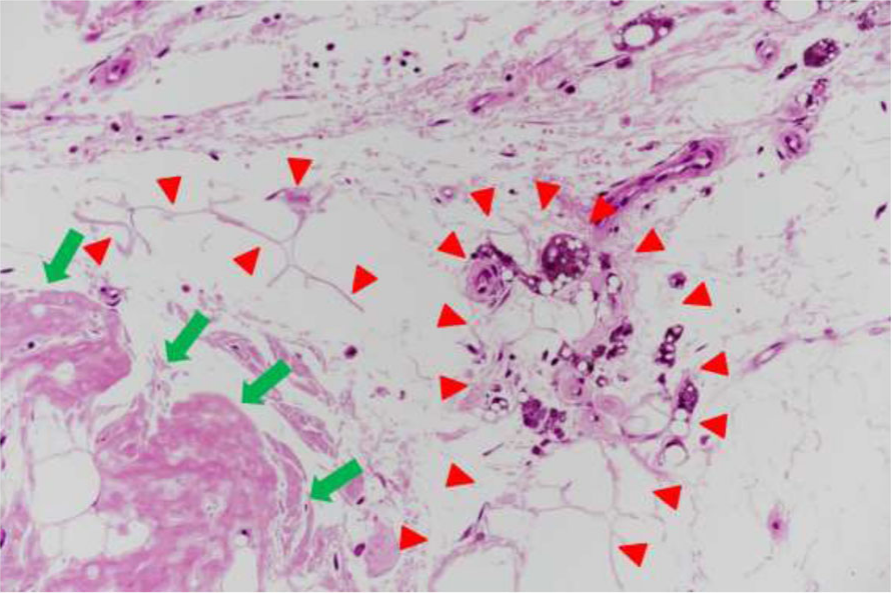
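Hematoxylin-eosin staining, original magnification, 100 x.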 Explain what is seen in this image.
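The deposit forms broad, smooth, homogeneous pink masses with hardly any nuclei in them, sharply unlike the pale fat beside it. In the fat, the thin septa between the empty fat cells are irregular, crumpled and broken rather than forming neat round outlines. In the middle lies a cluster of cells whose cytoplasm is filled with many small clear bubbles, giving them a foamy look, with dark purple nuclei among them. At the top, loose connective tissue carries small blood vessels with pink walls.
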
